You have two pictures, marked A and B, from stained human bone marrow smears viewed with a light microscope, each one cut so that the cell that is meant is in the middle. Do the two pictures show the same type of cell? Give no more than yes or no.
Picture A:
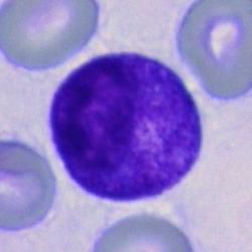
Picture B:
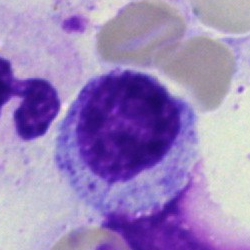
no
